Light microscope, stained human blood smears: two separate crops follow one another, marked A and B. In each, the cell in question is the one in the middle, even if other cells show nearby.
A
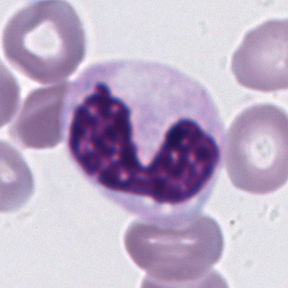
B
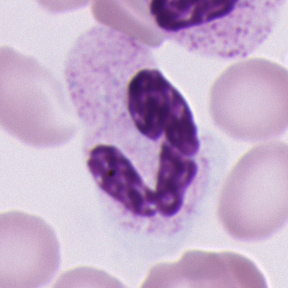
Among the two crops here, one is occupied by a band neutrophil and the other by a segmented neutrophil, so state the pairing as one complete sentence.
Crop B shows a segmented neutrophil, and crop A shows a band neutrophil.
